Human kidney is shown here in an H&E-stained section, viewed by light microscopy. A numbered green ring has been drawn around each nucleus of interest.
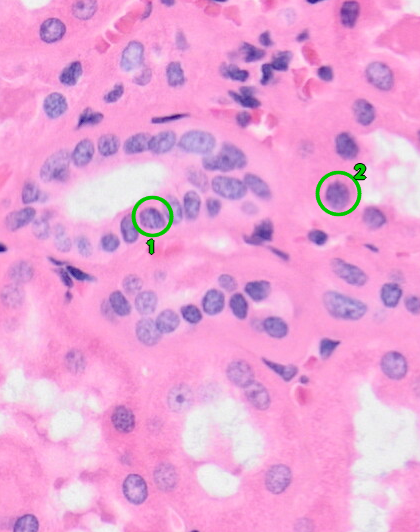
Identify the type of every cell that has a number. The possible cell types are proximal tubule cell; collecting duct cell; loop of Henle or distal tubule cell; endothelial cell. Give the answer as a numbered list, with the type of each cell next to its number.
1. collecting duct cell
2. loop of Henle or distal tubule cell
